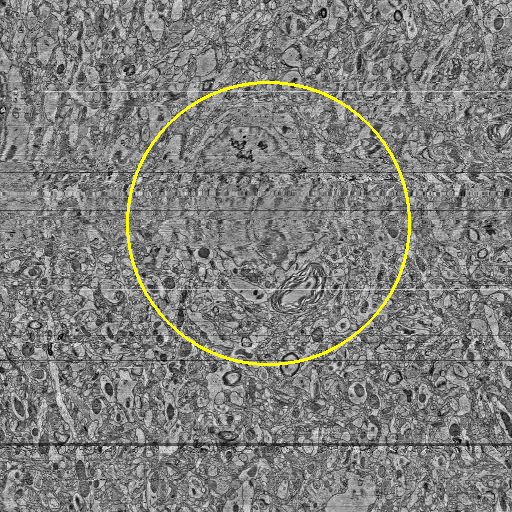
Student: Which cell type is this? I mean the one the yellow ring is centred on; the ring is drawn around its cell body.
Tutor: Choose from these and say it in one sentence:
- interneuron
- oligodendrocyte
The cell the ring is centred on is an interneuron.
